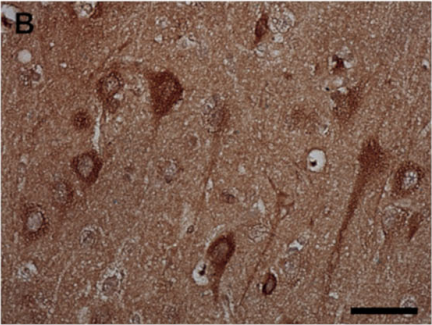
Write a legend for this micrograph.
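This is cerebral cortex with several large neurons, many of them pyramidal in shape, whose cell bodies and apical dendrites are stained dark brown. The neuropil itself is diffusely light to medium brown and finely granular. A few small clear spaces around cells are visible in the neuropil.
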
